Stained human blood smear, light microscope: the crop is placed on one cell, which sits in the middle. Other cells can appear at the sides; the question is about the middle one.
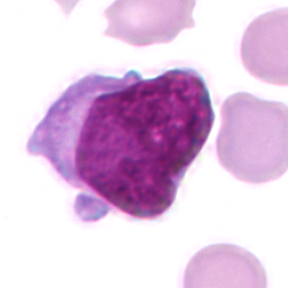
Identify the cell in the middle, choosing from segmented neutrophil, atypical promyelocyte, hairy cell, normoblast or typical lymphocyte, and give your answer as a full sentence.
The cell under consideration, at the middle of the crop, is an atypical promyelocyte.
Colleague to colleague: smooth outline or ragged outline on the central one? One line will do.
The outer contour of the cell is irregular, with ragged portions or projections along it.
